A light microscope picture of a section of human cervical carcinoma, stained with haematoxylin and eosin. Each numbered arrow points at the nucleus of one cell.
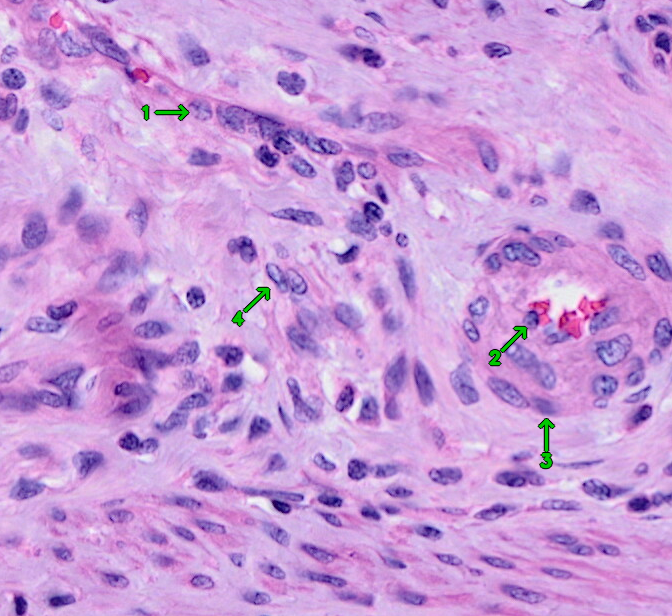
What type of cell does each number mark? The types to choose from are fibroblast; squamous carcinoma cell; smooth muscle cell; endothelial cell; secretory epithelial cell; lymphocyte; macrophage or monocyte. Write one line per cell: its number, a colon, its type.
1: endothelial cell
2: endothelial cell
3: smooth muscle cell
4: endothelial cell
